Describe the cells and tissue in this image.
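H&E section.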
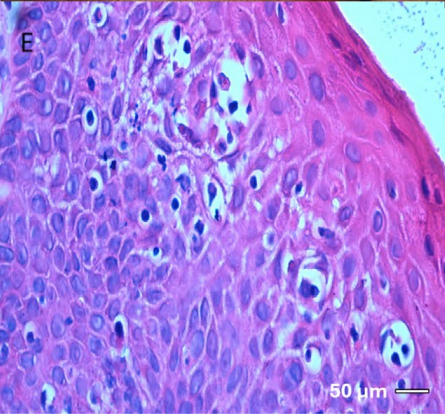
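This is the epidermis at high power, where atypical lymphocytes have moved in among the squamous epithelial cells. The squamous cells are large and polygonal, with pink cytoplasm and round, pale purple nuclei. Scattered among them are smaller cells with dark, irregular nuclei, each set inside a clear halo. In places these cells sit together in small groups, and near the upper right the surface layer is a pinker, more compact band.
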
